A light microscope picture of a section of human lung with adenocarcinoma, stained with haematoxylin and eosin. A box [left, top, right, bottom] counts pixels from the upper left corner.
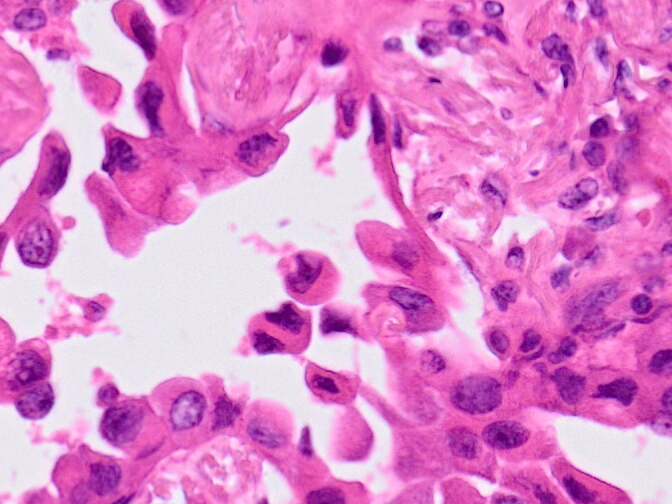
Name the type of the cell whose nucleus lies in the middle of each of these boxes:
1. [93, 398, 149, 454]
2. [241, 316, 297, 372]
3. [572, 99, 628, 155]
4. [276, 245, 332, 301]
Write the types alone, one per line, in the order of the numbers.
carcinoma cell
carcinoma cell
plasma cell
carcinoma cell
